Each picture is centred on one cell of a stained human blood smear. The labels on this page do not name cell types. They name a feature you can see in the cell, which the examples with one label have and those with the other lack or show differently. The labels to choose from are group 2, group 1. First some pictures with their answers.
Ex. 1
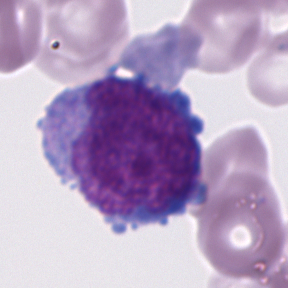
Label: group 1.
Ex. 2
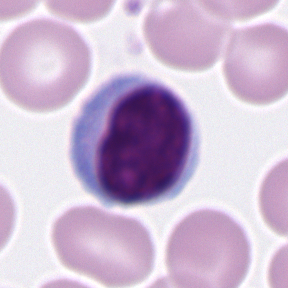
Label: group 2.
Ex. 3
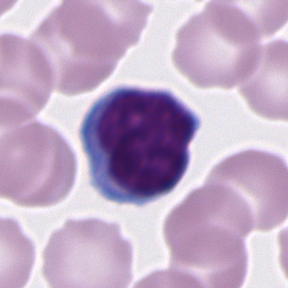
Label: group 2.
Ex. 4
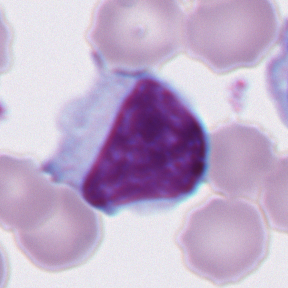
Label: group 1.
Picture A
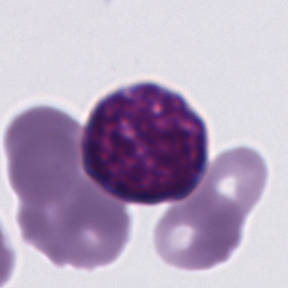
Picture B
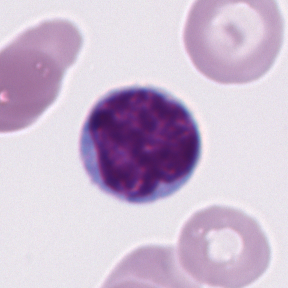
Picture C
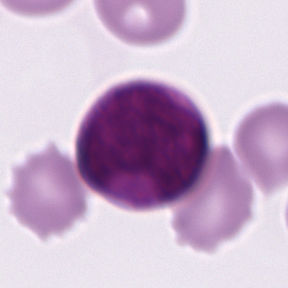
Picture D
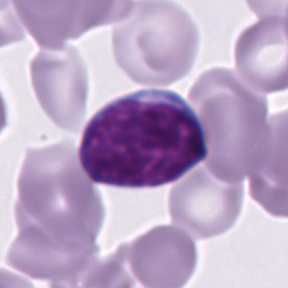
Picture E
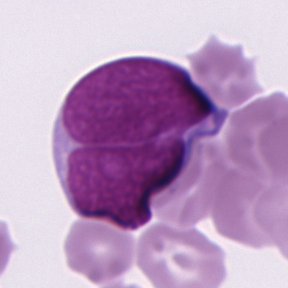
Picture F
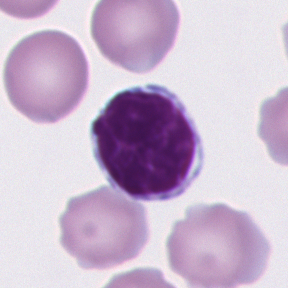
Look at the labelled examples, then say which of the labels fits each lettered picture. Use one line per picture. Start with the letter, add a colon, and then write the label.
A: group 2.
B: group 2.
C: group 2.
D: group 2.
E: group 2.
F: group 2.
